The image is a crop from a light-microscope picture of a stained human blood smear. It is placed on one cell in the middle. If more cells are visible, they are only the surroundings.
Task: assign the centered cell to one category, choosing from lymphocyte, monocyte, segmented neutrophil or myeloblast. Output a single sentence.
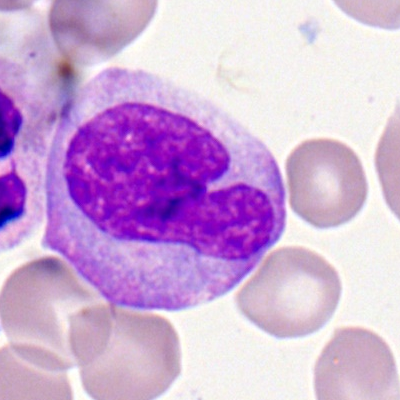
The middle cell in this particular crop is a monocyte.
